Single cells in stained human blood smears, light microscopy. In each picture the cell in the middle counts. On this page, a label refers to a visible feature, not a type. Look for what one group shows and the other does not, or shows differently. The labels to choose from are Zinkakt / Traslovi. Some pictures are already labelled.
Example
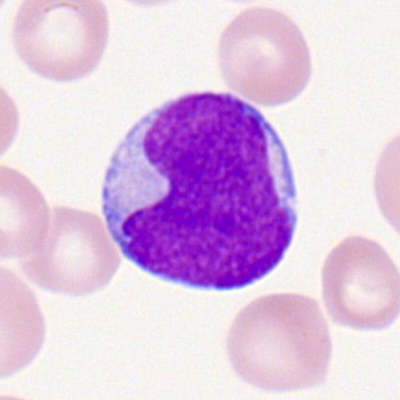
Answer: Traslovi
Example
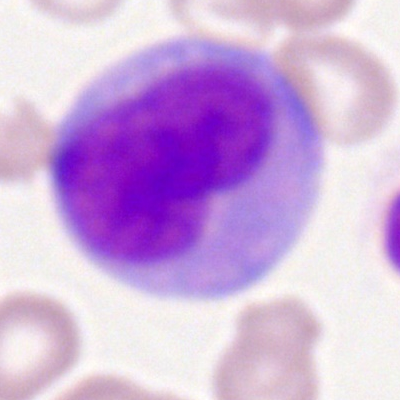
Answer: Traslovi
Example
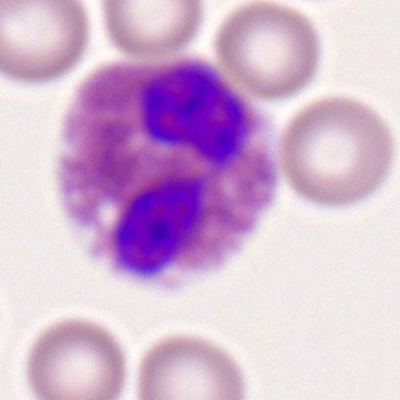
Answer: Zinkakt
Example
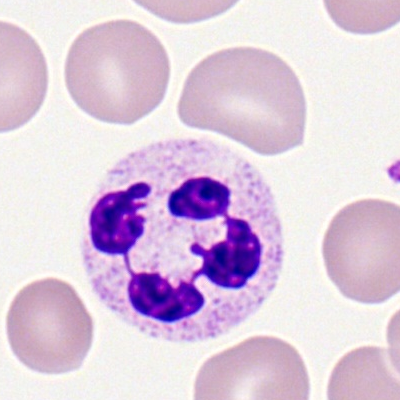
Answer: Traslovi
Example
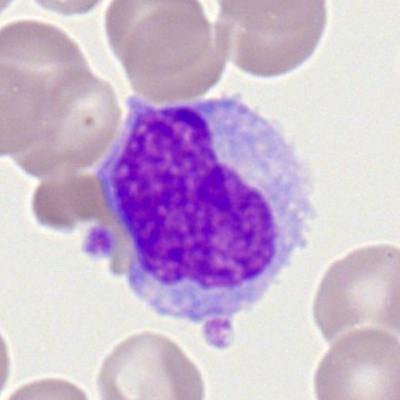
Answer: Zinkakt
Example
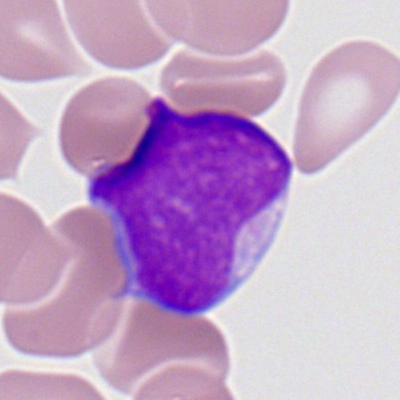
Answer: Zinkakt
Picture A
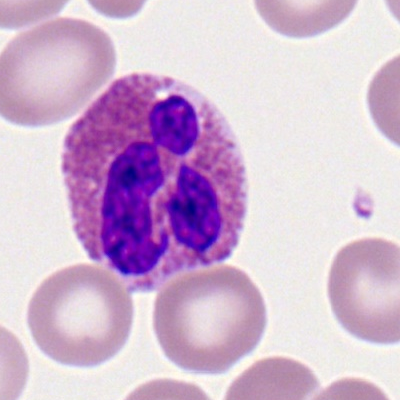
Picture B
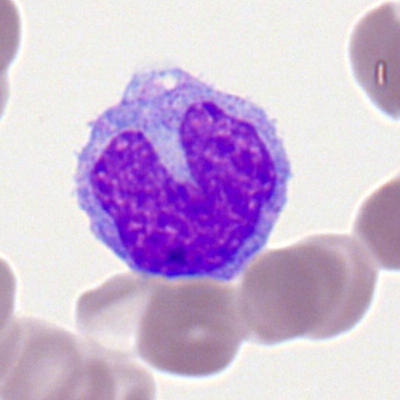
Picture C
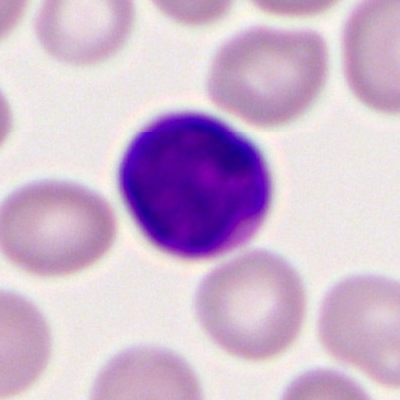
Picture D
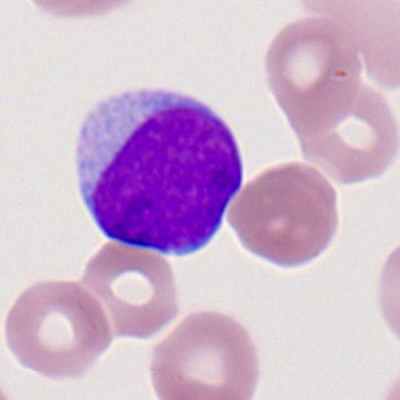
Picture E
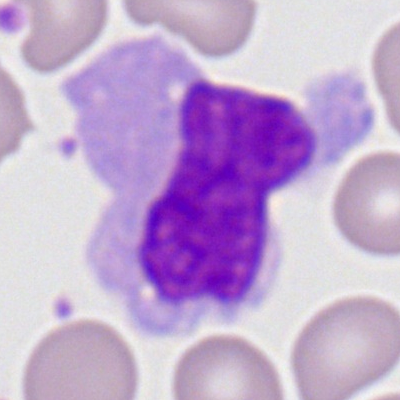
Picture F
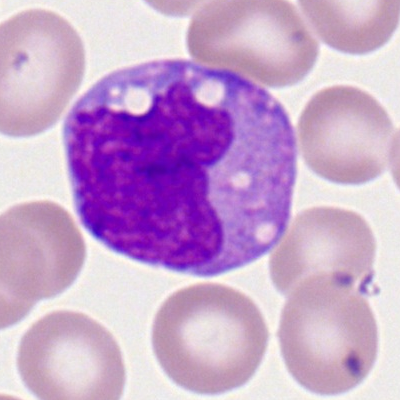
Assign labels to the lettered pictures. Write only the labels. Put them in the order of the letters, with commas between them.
Traslovi, Zinkakt, Traslovi, Traslovi, Zinkakt, Traslovi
